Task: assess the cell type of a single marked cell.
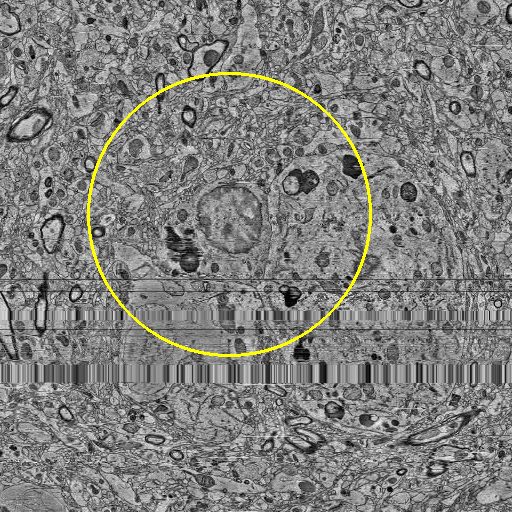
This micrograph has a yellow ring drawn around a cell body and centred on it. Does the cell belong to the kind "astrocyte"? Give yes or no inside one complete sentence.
No, the marked cell at the centre of the ring belongs to another kind.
